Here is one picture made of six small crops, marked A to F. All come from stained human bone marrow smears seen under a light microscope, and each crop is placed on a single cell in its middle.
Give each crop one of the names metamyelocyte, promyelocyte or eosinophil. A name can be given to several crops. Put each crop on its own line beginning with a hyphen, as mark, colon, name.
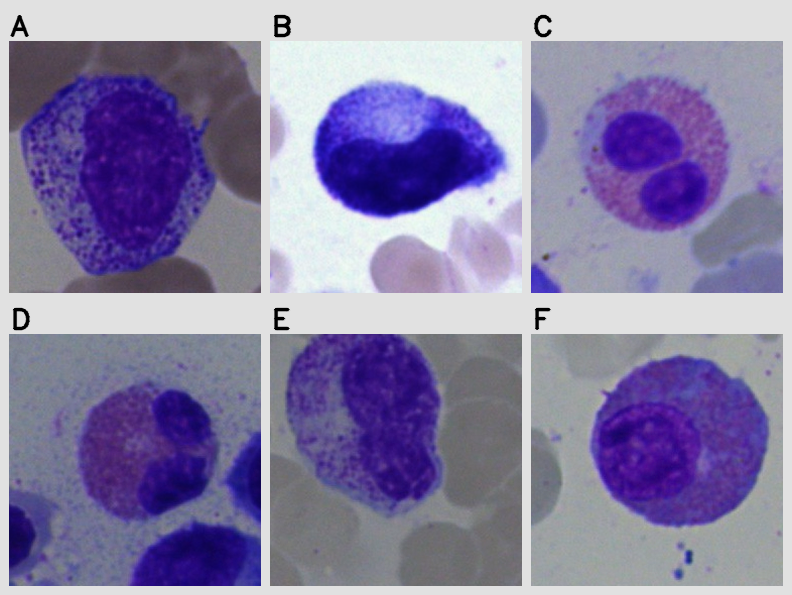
- A: promyelocyte
- B: metamyelocyte
- C: eosinophil
- D: eosinophil
- E: metamyelocyte
- F: eosinophil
